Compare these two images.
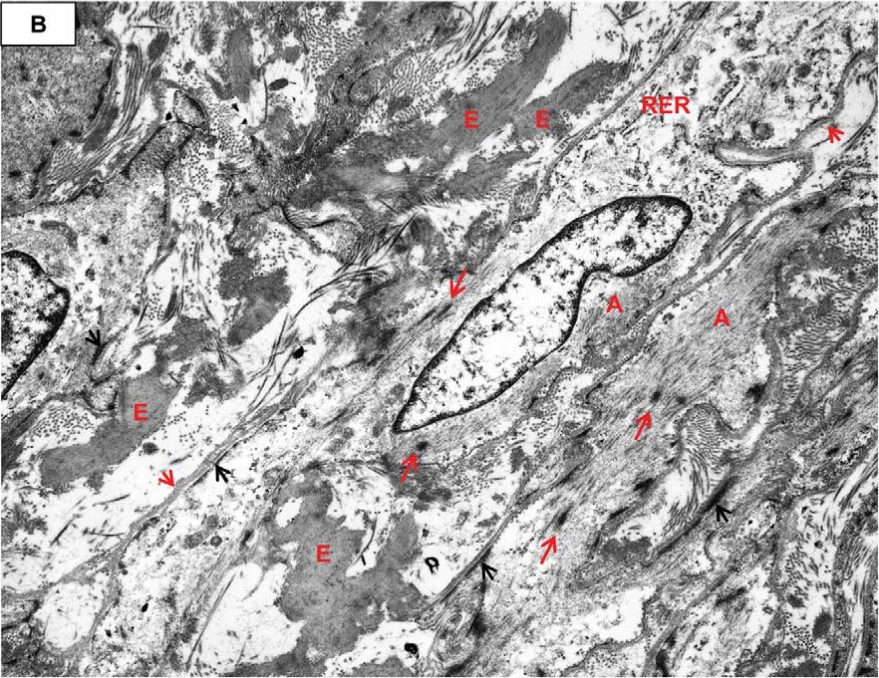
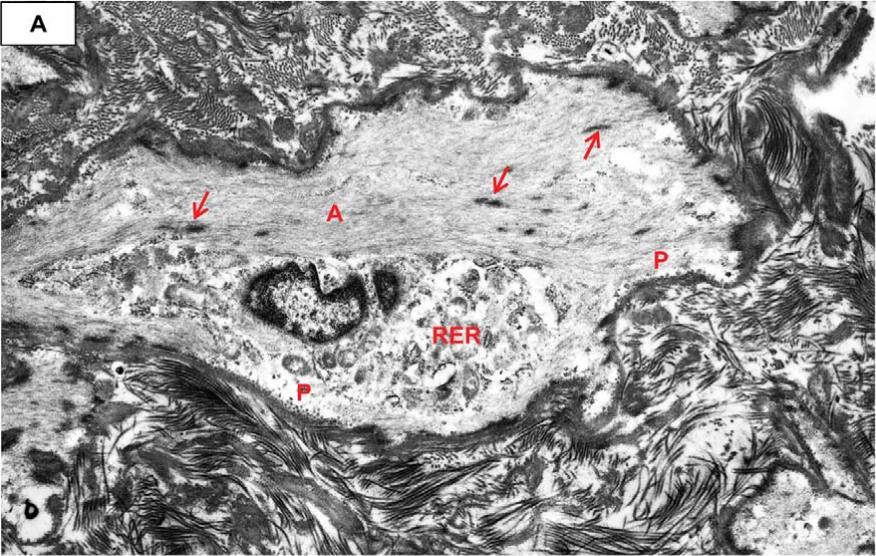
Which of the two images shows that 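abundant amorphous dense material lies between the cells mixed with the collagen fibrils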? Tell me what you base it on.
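First image: large grey amorphous patches lie among the fibrils between cells. Second image: the space around the cell holds mainly fibrillar material, with no large amorphous patches. The answer: the first image.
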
